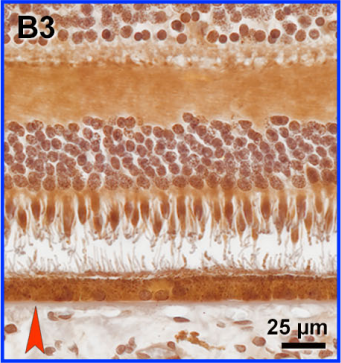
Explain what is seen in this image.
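Next come the inner segments, with brown, club-shaped ellipsoids lined up side by side. Their pale, thin outer segments extend downward, largely unstained. At the bottom a continuous brown band is the retinal pigment epithelium on its thin basal membrane, with loose choroid containing a few nuclei below.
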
